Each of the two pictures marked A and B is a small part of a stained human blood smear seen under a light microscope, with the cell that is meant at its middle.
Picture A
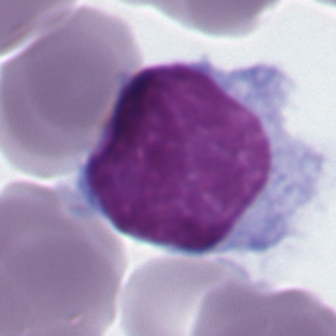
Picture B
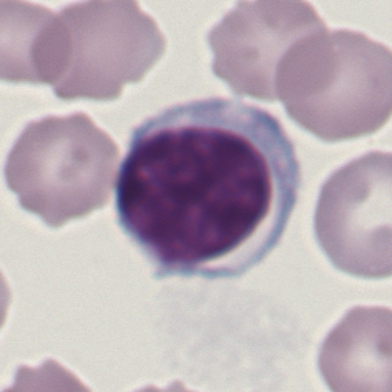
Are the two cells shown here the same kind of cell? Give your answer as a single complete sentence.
Yes, they are the same type: both are typical lymphocytes.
